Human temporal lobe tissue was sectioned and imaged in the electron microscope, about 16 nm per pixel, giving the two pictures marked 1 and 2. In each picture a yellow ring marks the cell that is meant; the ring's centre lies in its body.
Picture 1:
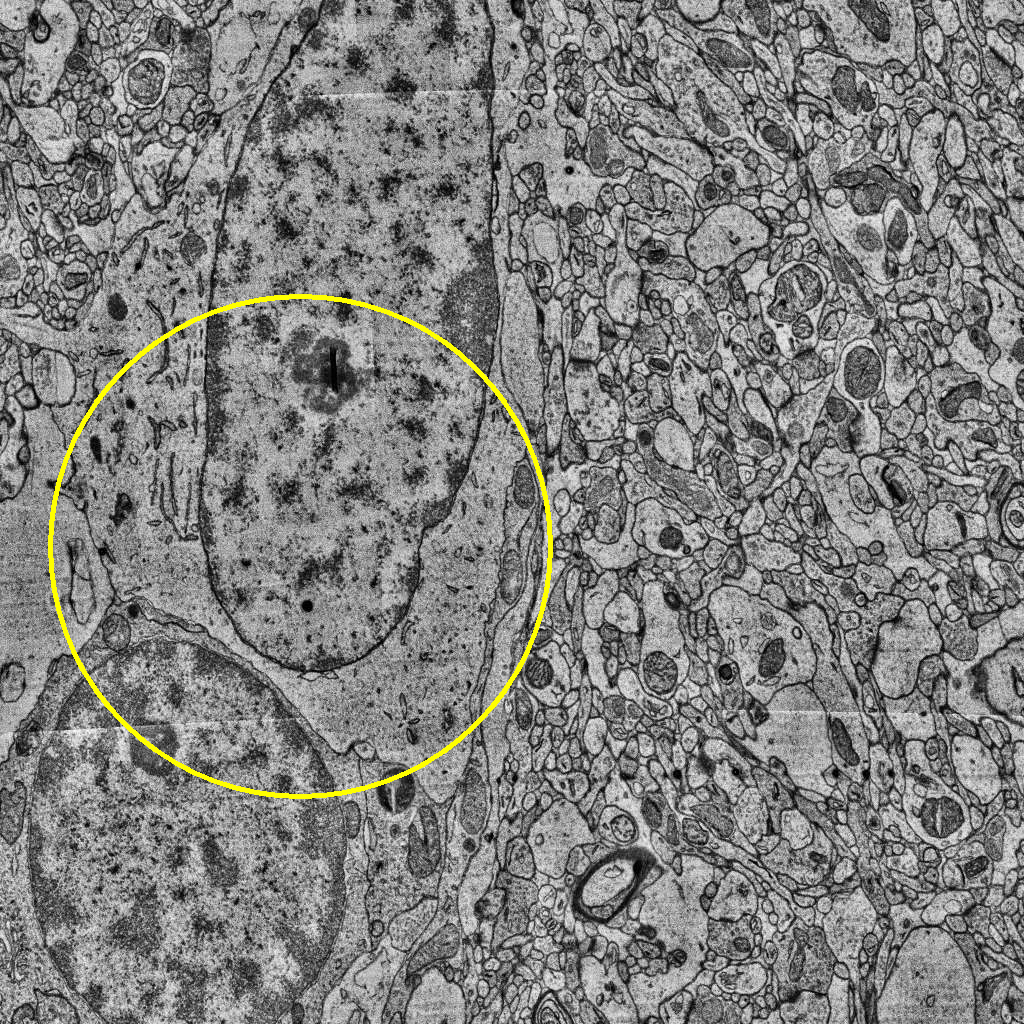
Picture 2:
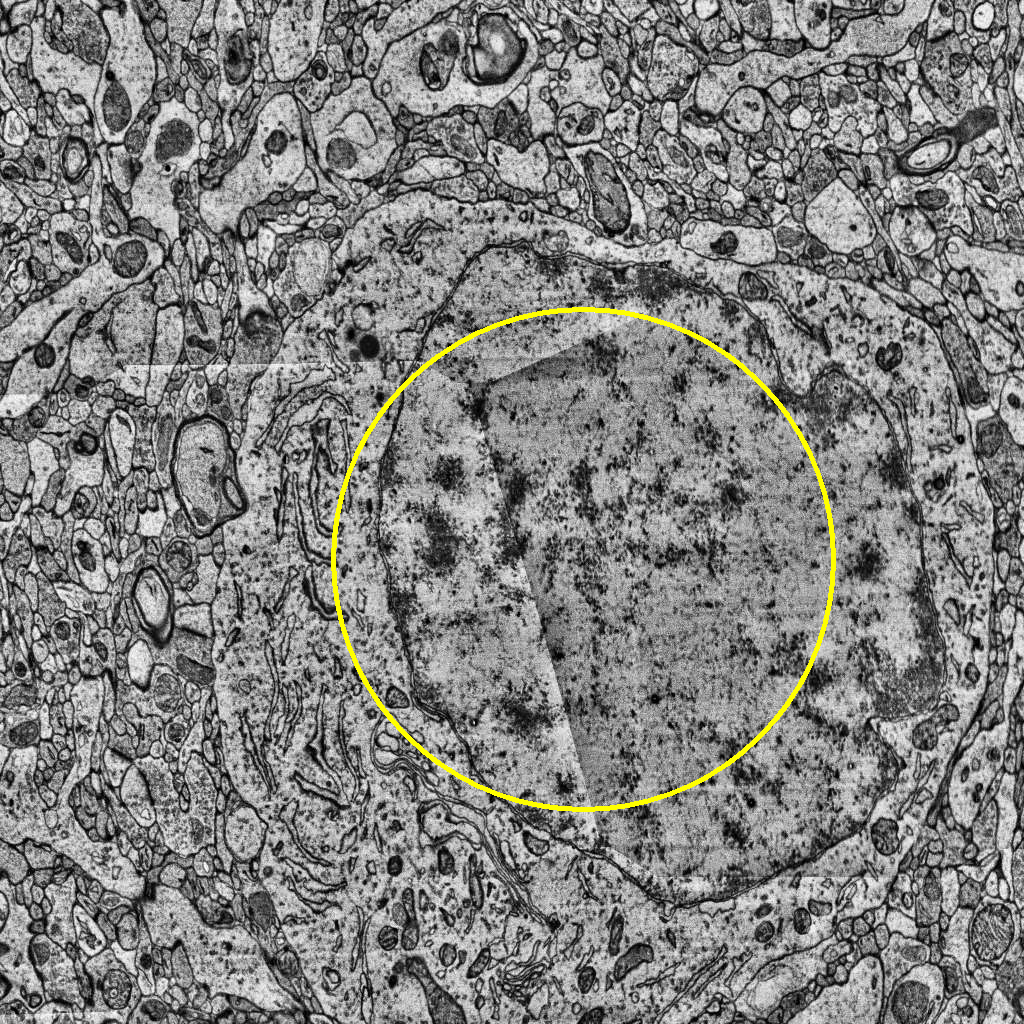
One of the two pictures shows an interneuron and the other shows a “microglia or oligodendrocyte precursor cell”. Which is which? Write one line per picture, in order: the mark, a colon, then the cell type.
1: microglia or oligodendrocyte precursor cell
2: interneuron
